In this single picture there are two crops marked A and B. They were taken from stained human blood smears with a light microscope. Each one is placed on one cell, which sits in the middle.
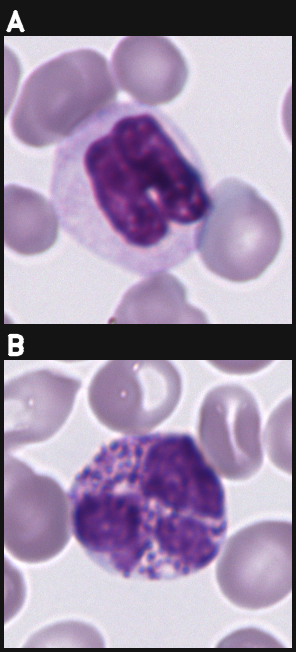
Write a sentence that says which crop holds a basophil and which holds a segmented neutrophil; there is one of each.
Crop A represents a segmented neutrophil, while crop B represents a basophil.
